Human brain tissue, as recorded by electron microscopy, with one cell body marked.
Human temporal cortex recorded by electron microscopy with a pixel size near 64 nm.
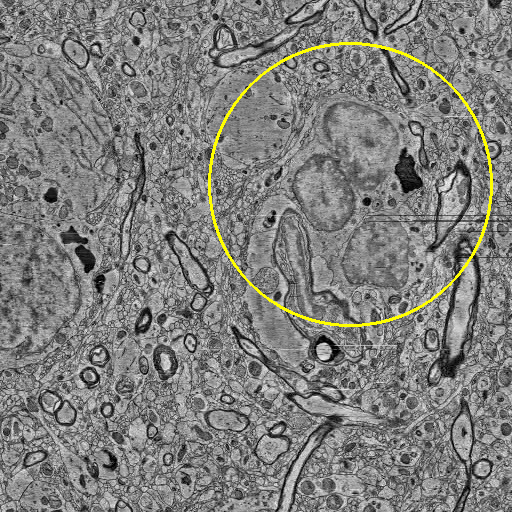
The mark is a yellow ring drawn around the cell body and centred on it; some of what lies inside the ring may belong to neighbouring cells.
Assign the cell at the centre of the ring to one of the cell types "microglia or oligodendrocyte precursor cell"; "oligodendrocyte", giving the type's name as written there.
oligodendrocyte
